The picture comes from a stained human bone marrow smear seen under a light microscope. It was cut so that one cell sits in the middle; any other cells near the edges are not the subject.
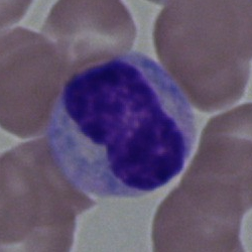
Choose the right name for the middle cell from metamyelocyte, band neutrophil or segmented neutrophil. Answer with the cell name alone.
metamyelocyte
